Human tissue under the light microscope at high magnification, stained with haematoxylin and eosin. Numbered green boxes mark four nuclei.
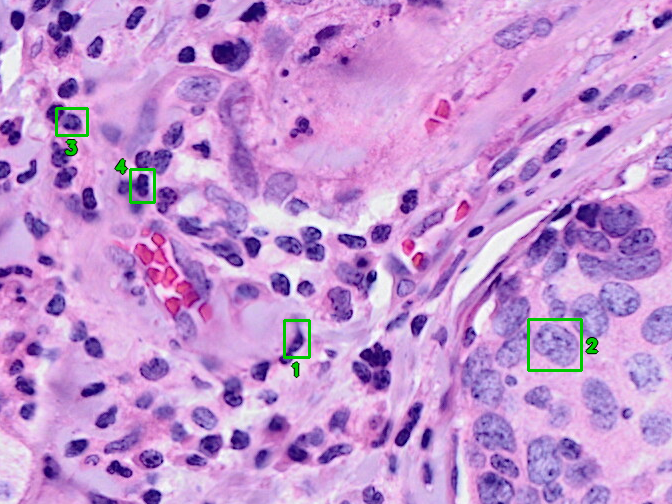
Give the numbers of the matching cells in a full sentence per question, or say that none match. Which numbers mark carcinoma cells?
Cell 2 is a carcinoma cell and is the only numbered cell of that kind.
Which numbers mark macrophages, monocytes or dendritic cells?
The group of numbered cells contains no macrophages, monocytes or dendritic cells.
